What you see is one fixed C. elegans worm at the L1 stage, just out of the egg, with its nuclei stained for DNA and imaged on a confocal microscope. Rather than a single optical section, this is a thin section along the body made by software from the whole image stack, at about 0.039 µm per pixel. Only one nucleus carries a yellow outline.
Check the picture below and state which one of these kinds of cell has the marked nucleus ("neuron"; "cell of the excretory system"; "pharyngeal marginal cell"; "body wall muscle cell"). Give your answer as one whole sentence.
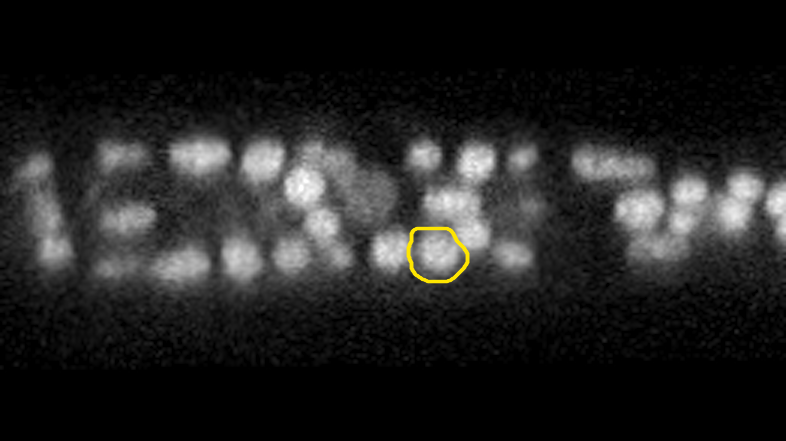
The marked nucleus is that of a neuron.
